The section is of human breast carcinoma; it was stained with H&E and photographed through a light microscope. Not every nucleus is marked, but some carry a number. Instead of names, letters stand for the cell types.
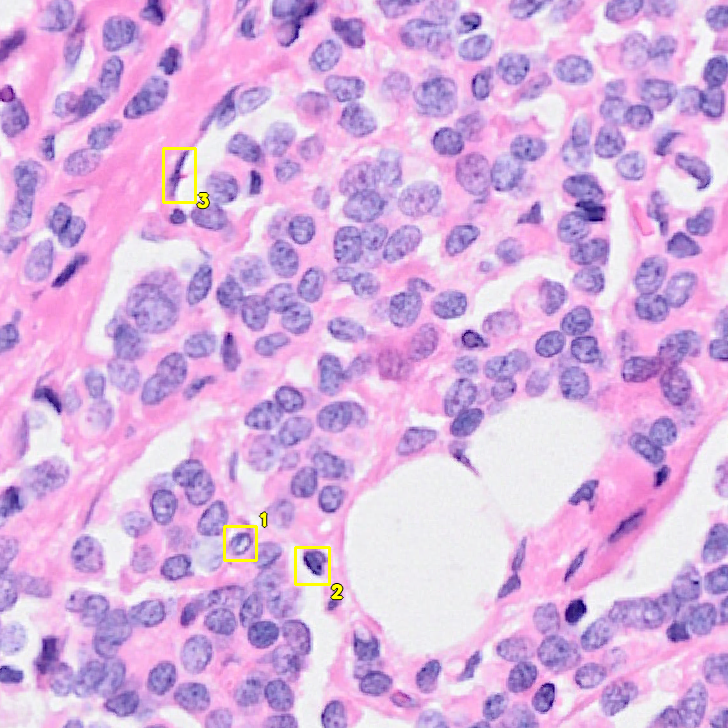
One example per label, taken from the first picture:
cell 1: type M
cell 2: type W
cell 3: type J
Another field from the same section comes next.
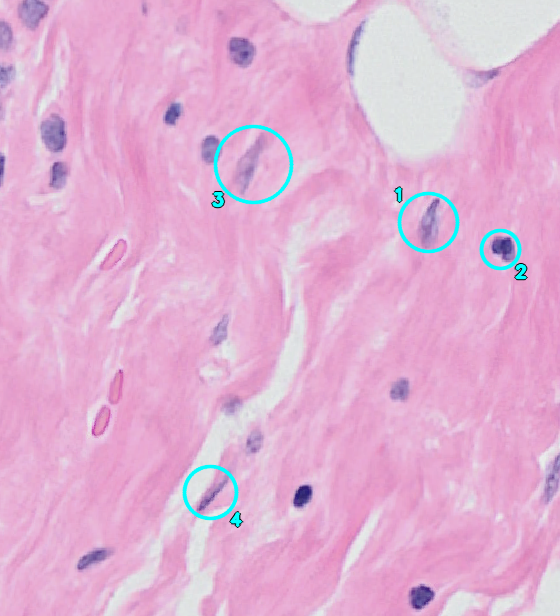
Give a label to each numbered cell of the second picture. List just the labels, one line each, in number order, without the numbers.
type J
type W
type J
type J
